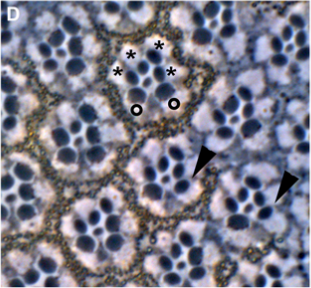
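Tangential section through the compound eye, showing ommatidia cut across, each holding a cluster of photoreceptor cells. Each ommatidium shows several dark, round to oval profiles set in a pale cytoplasm, arranged in a roughly trapezoid cluster. The ommatidia pack side by side and are separated by borders of fine brown pigment granules. The pigment borders are missing around some parts of the field. Within some single ommatidia the dark profiles differ in size, with some markedly smaller than their neighbours.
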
